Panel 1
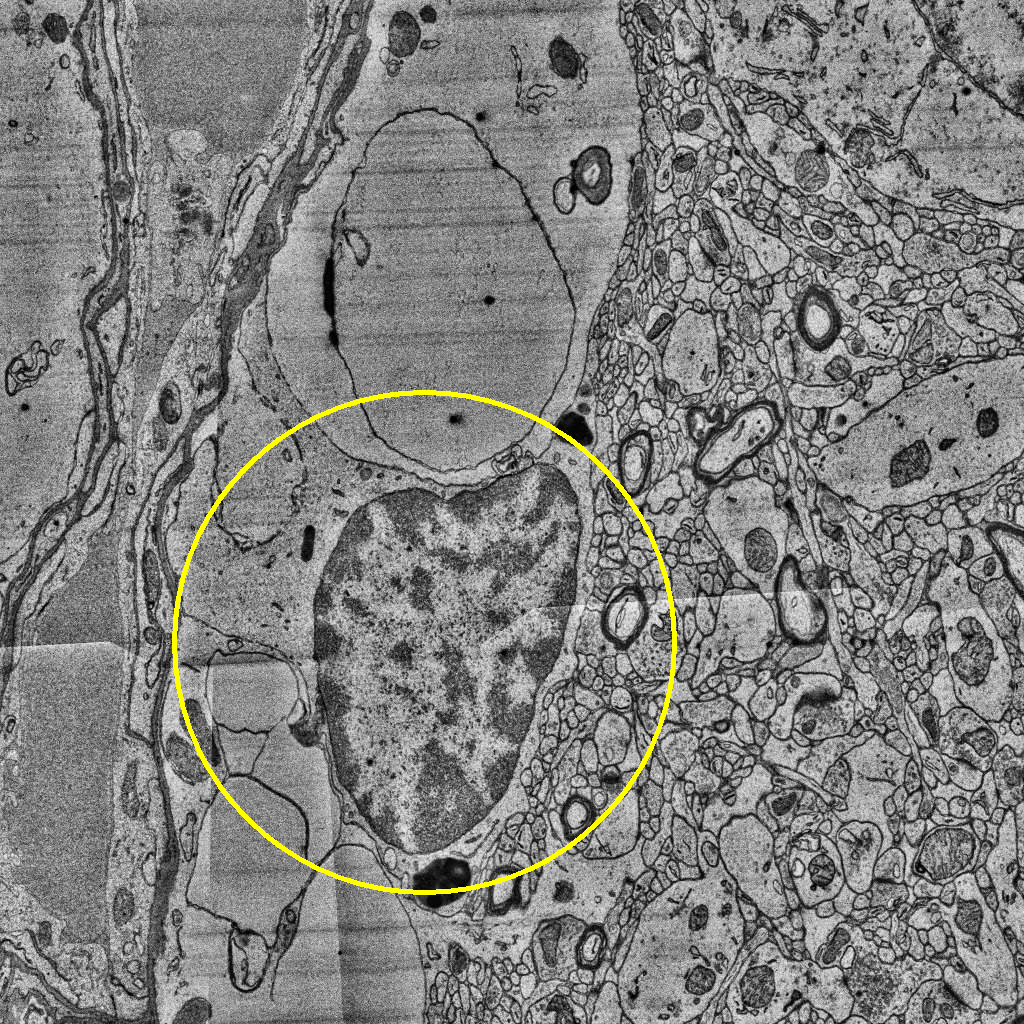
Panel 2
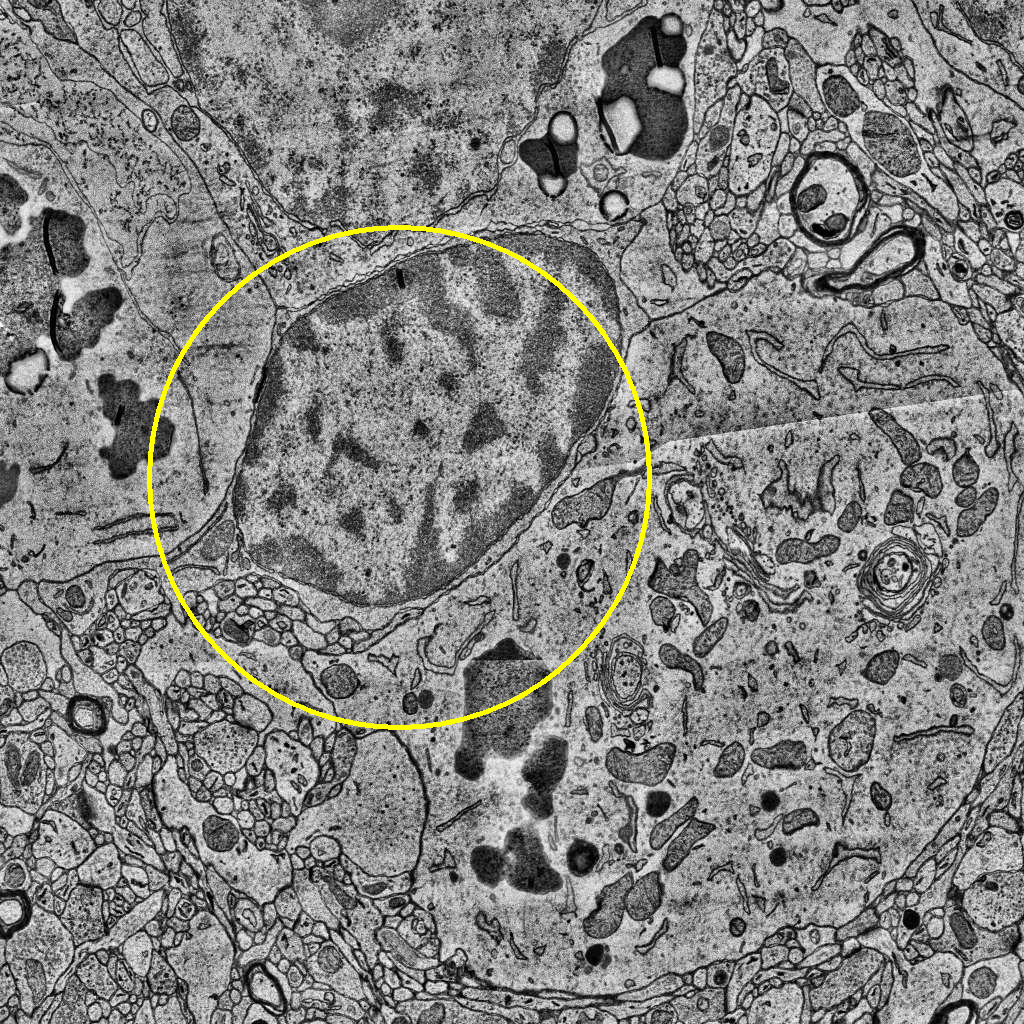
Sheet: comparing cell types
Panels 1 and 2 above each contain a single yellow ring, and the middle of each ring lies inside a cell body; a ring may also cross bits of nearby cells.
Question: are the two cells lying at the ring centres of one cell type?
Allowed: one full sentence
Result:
Yes, the cells at the ring centres in Panel 1 and Panel 2 are of one type.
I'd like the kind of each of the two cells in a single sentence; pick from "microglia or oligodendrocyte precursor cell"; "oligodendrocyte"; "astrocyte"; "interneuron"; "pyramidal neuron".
Each of the two pictures has a microglial cell or oligodendrocyte precursor cell at the ring centre.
